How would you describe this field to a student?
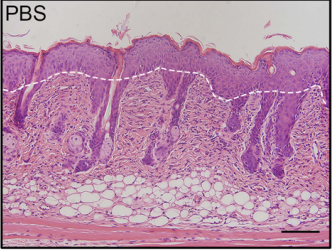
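Skin in cross-section with a thick, deeply stained stratified epidermis at the surface above a white dashed line, sending downward projections into the dermis. Below lies a pink, cellular dermis with elongated hair follicles, then a band of pale rounded fat cells and pink skeletal muscle at the bottom.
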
